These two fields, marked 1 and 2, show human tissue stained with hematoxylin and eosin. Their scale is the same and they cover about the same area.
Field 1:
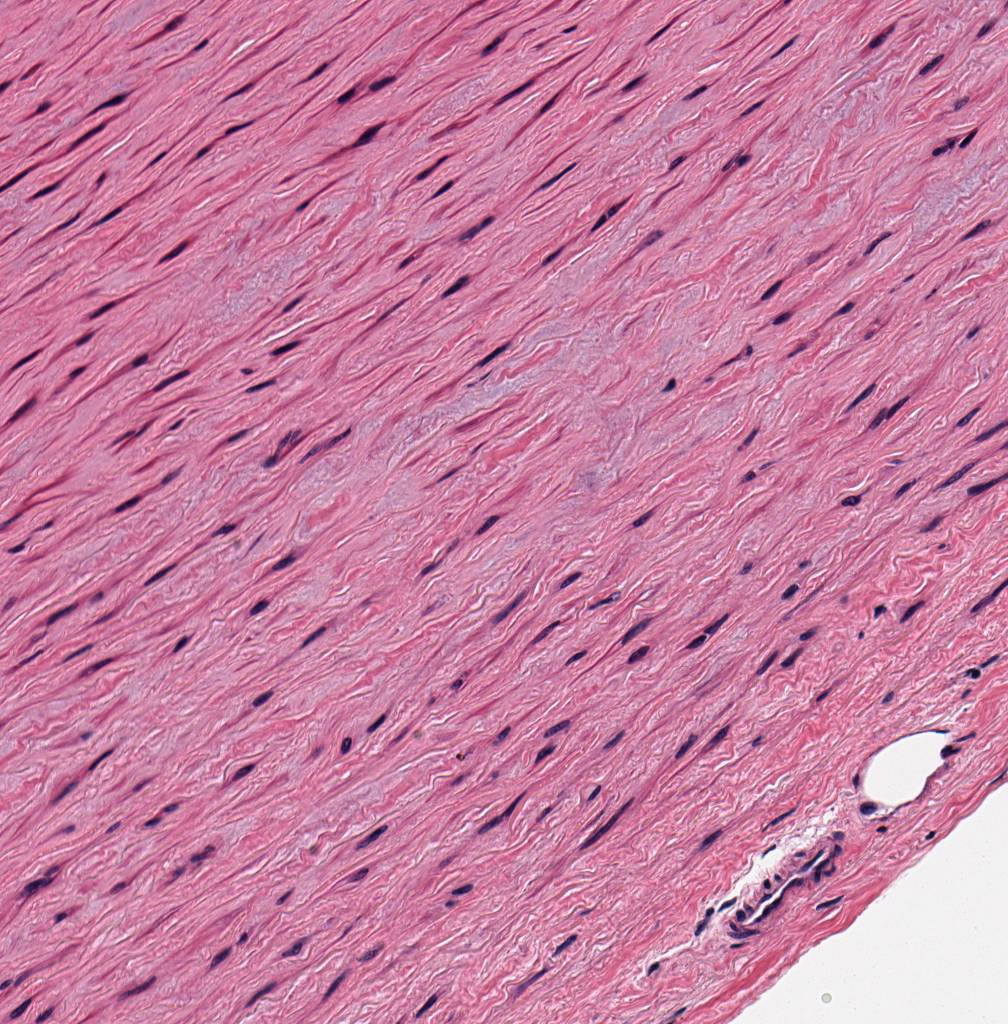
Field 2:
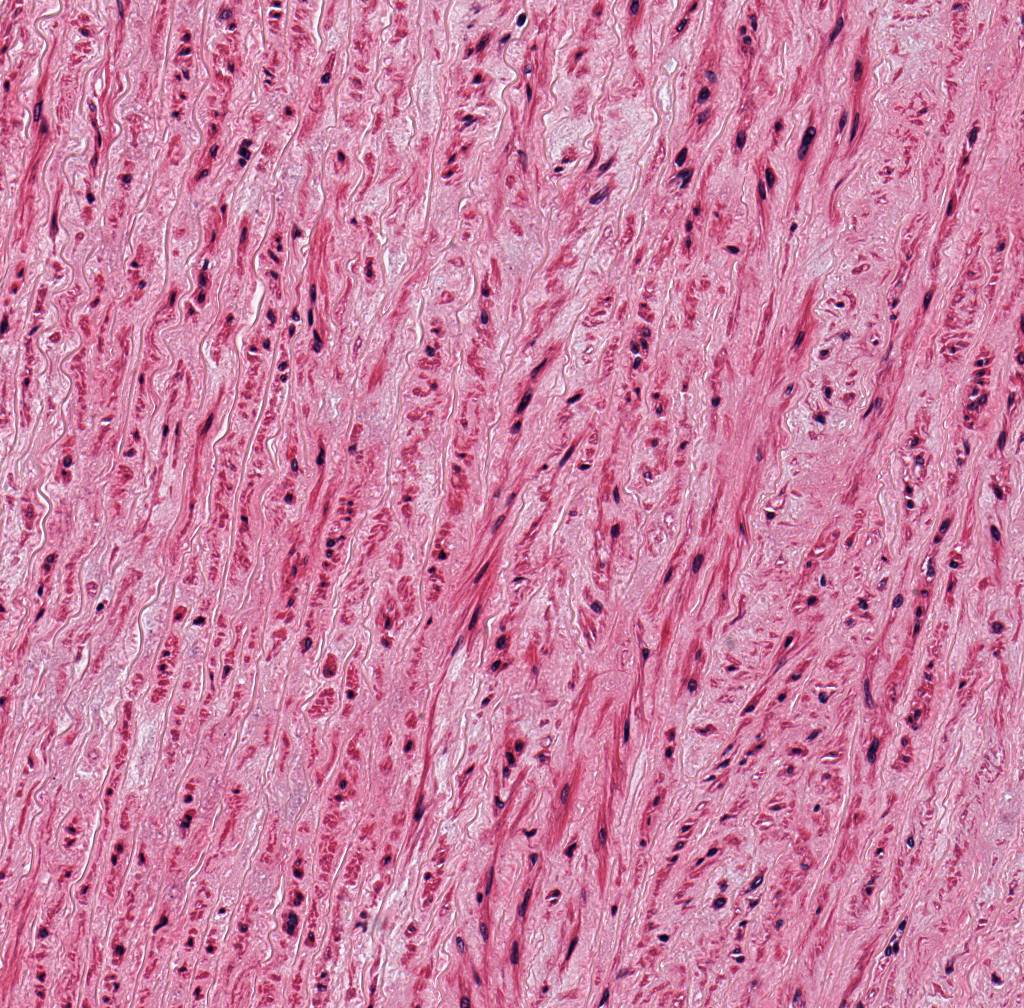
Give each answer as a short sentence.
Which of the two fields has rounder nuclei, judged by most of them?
Rounder nuclei lie in field 2.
